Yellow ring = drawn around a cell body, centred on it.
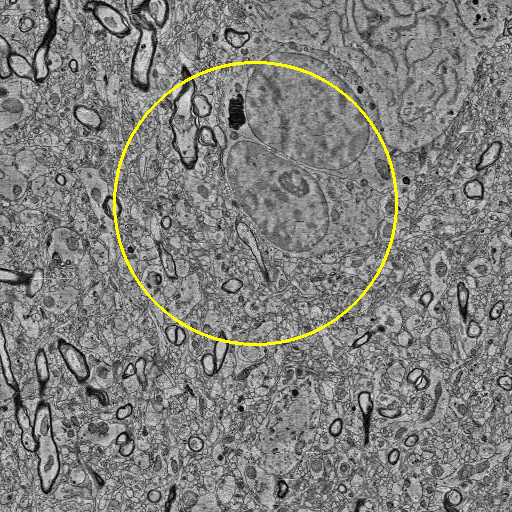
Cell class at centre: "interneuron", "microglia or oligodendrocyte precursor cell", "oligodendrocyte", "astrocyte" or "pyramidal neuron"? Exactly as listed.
oligodendrocyte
